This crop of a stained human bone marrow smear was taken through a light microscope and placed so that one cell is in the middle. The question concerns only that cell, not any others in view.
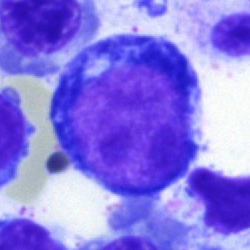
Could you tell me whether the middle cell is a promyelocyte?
no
